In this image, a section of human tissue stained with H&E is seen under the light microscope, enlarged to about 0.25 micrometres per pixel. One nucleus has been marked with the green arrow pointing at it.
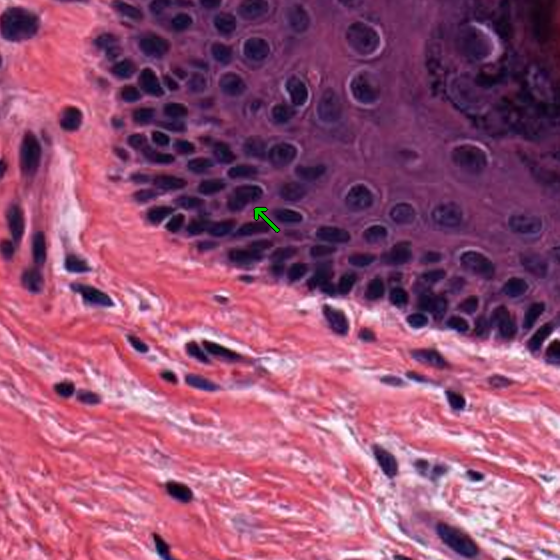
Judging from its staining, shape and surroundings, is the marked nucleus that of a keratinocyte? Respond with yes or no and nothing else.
yes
